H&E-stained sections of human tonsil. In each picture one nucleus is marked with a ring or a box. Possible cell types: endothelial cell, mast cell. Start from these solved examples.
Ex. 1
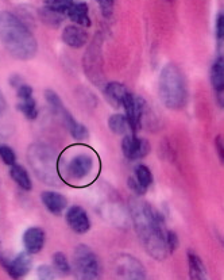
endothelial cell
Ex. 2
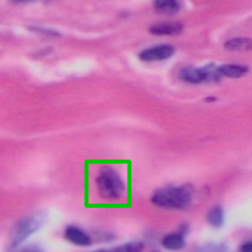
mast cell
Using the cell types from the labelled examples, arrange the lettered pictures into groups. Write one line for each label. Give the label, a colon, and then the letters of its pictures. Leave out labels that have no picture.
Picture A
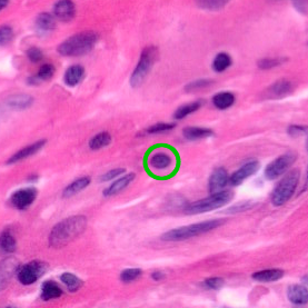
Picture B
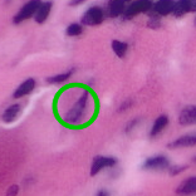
endothelial cell: B
mast cell: A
